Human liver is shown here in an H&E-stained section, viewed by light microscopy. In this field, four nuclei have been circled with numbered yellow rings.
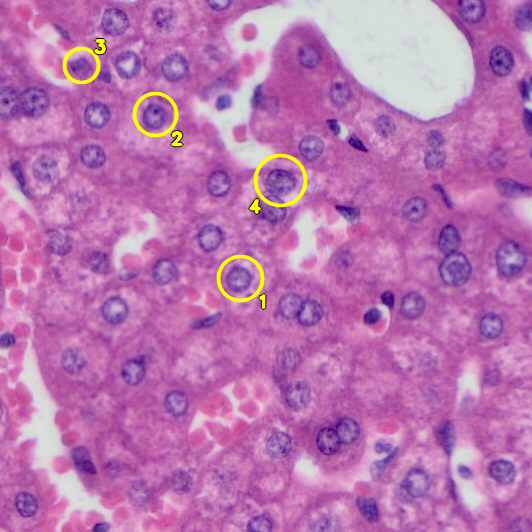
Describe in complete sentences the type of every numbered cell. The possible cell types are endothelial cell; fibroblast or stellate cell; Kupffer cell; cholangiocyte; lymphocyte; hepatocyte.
Cell 1 is a hepatocyte, cell 2 is a hepatocyte, cell 3 is a Kupffer cell and cell 4 is a hepatocyte.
